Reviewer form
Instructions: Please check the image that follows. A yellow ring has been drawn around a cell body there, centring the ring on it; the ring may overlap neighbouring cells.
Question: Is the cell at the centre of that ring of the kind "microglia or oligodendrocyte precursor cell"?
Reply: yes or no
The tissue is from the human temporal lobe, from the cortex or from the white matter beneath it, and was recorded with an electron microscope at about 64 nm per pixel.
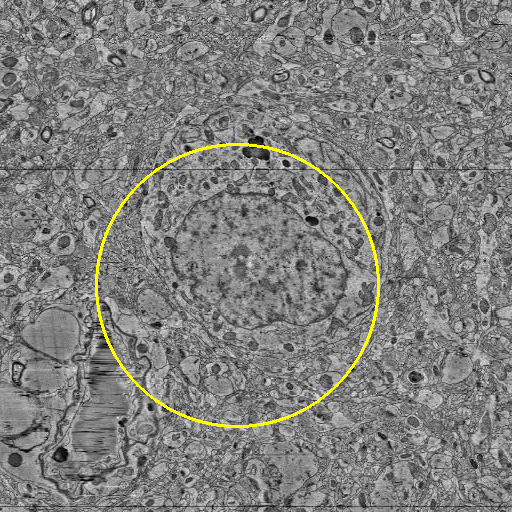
no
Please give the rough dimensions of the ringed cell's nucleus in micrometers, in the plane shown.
Roughly 11 by 9 micrometres in this plane, for the nucleus of the ringed cell.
